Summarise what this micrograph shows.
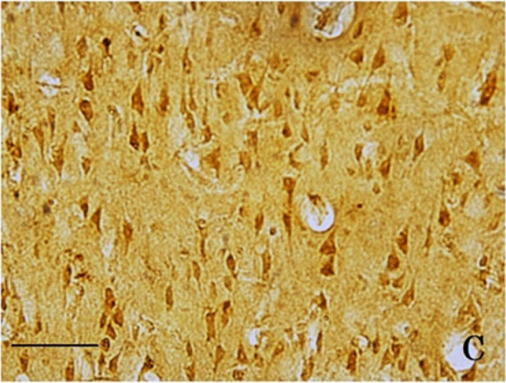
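Cerebral cortex in which many neuronal cell bodies are stained brown against a lighter brown neuropil. Most stained somata are triangular or spindle-shaped and give off a single process that runs in one shared direction, so the cells line up in parallel, in keeping with pyramidal-shaped neurons. The stain fills the cell body and the start of the process, while nuclei are not clearly set apart. Scattered pale, unstained round holes and clefts, some around blood vessel profiles, interrupt the neuropil.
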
